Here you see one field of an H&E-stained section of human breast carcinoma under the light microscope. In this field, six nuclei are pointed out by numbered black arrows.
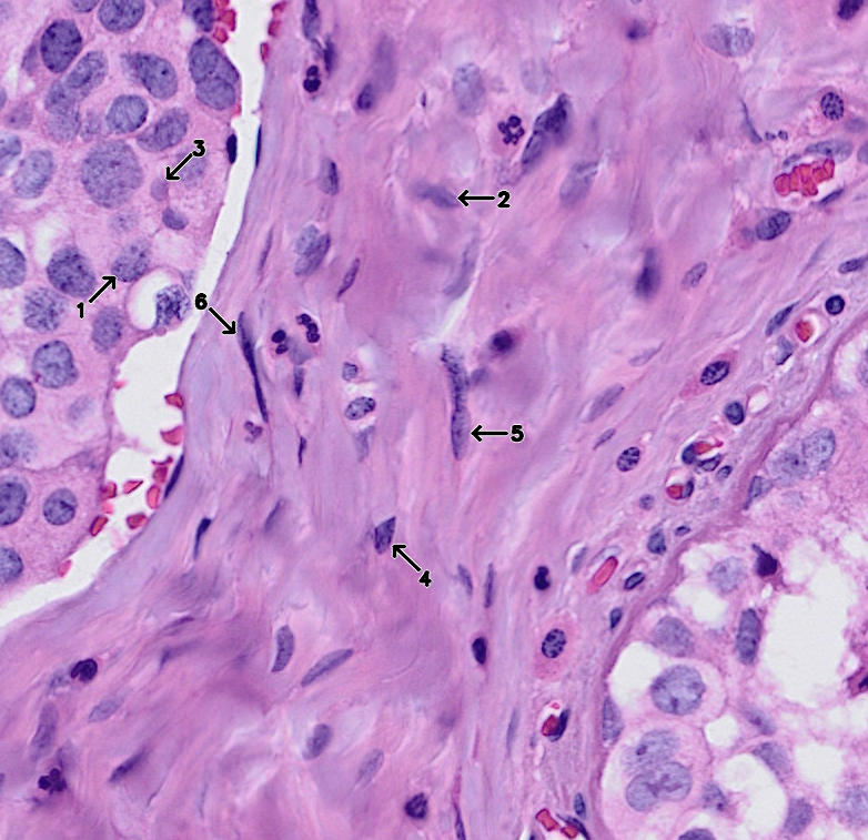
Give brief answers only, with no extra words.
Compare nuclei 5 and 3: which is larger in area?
5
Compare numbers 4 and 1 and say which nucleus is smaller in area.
4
